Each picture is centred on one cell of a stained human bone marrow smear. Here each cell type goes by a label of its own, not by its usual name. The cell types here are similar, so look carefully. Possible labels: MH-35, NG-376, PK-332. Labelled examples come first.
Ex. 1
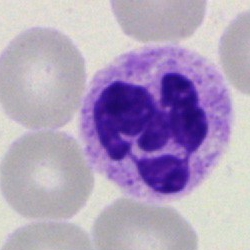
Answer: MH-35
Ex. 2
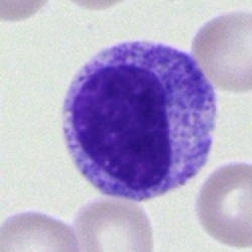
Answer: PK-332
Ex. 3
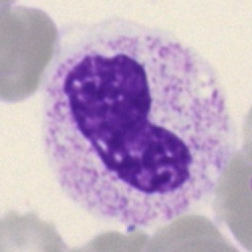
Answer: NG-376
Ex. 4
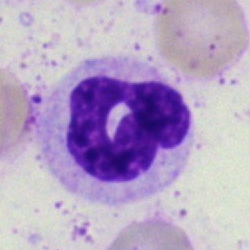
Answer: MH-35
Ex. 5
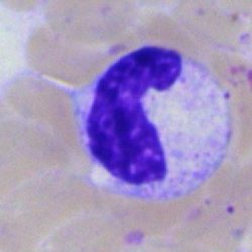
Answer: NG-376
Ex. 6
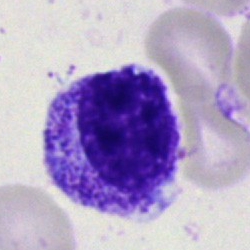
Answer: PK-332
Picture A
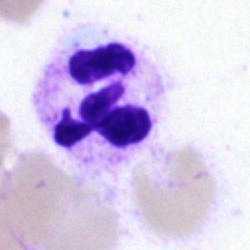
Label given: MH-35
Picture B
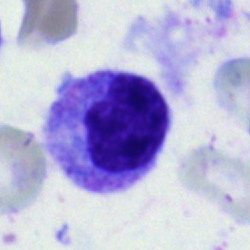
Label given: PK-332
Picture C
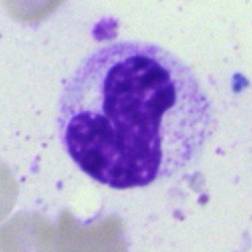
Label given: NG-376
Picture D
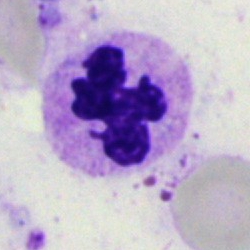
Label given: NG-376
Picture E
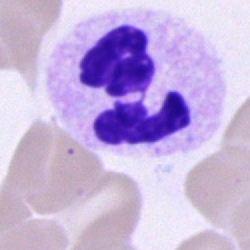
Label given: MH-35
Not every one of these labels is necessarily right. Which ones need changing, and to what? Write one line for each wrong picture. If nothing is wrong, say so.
Wrong: D (NG-376); correct: MH-35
